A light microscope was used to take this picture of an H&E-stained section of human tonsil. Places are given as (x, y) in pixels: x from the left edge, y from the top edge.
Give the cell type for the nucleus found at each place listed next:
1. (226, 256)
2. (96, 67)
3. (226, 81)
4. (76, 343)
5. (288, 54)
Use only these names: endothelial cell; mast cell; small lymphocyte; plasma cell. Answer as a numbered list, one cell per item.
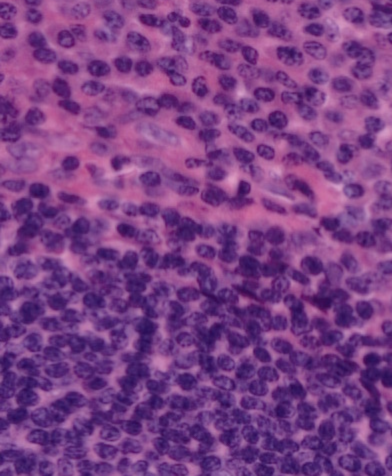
1. small lymphocyte
2. plasma cell
3. plasma cell
4. small lymphocyte
5. plasma cell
